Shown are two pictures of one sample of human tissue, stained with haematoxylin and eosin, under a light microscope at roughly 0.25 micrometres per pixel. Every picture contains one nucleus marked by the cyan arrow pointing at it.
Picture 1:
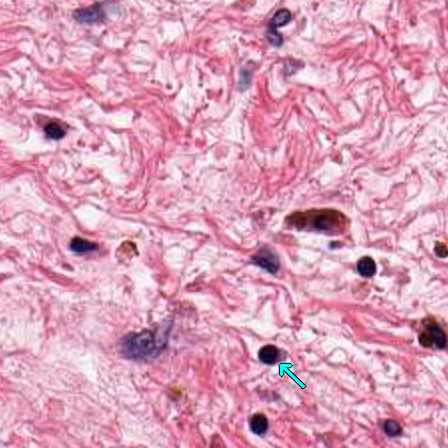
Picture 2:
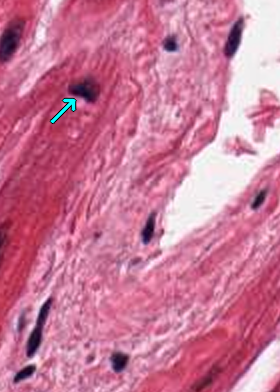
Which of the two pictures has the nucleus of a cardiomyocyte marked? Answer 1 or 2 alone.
2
